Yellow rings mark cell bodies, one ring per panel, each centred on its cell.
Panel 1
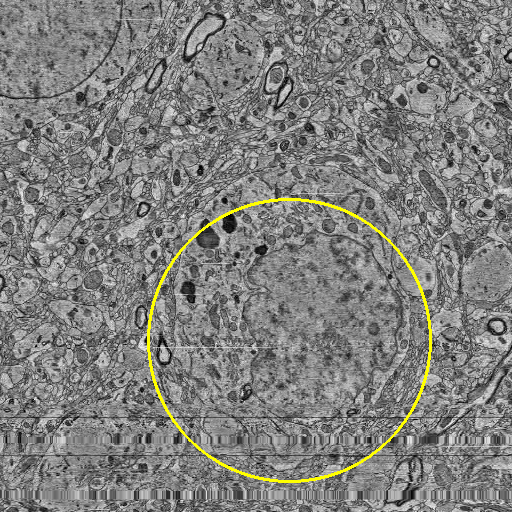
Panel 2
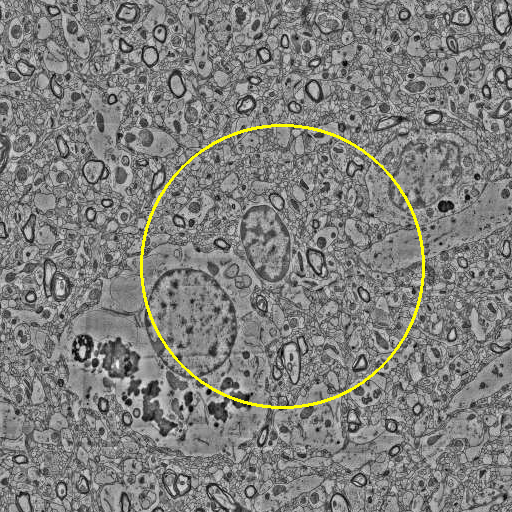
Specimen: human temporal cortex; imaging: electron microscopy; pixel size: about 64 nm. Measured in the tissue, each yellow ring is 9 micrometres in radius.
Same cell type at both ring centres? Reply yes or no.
no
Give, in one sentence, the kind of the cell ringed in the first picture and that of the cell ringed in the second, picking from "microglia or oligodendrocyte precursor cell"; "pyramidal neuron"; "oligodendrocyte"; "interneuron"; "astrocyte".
For the first picture it is an interneuron; for the second, a microglial cell or oligodendrocyte precursor cell.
